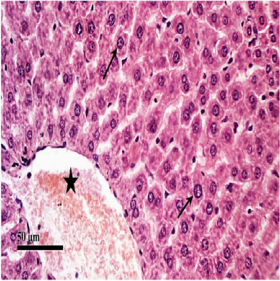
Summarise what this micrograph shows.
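Liver parenchyma with hepatocytes arranged in plates around a central vein. The vein lumen, at the lower left, contains pink blood and is lined by a thin wall with flattened nuclei. Hepatocytes are polygonal with pink, finely granular cytoplasm and round central nuclei holding visible nucleoli; some cells have two nuclei. Narrow pale sinusoids separate the cords and run toward the vein, with occasional small elongated nuclei of lining cells along them. The cords are orderly, without clusters of inflammatory cells or obvious cleared cytoplasm.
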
